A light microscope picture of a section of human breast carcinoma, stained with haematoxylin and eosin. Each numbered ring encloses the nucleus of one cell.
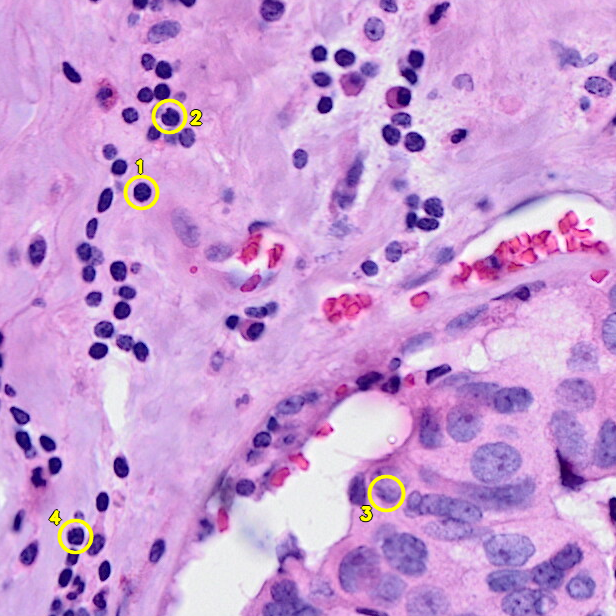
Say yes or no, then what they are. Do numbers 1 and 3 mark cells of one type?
No, cell 1 is recognized as a lymphocyte, and cell 3 as a carcinoma cell.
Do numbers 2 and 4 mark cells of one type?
Yes, and to be precise, cells 2 and 4 are both lymphocytes.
